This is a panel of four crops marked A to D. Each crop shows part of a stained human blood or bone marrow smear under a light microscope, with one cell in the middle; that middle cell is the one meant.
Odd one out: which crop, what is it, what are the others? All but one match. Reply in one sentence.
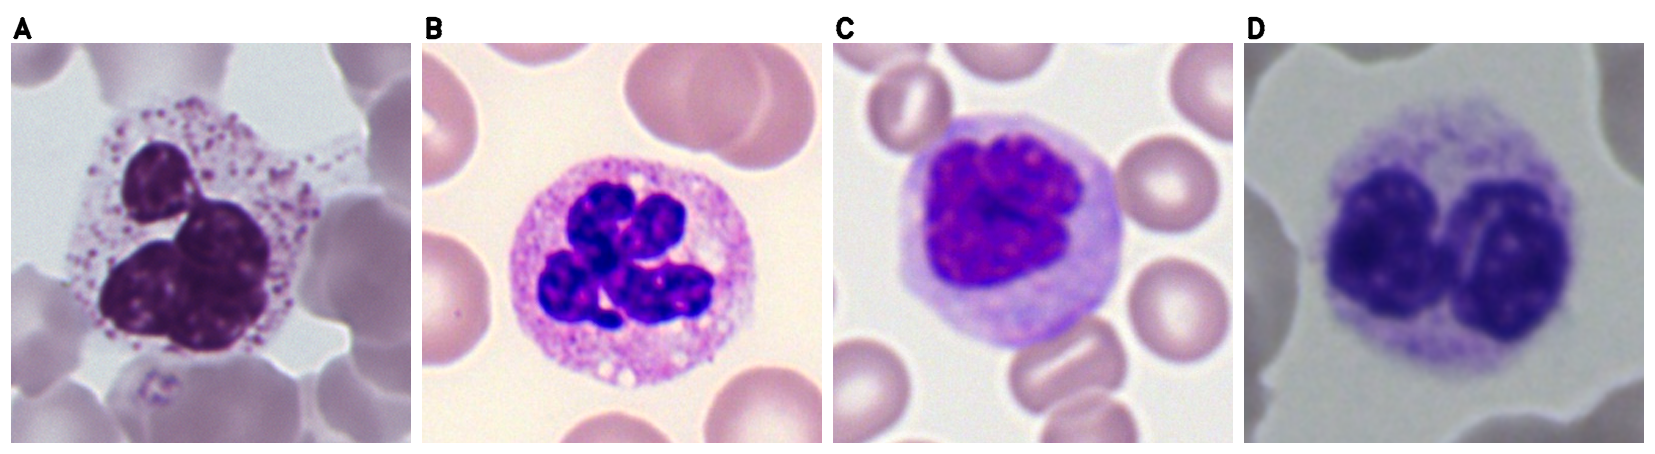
Crop C is not like the others: it is a monocyte, and they are neutrophils.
